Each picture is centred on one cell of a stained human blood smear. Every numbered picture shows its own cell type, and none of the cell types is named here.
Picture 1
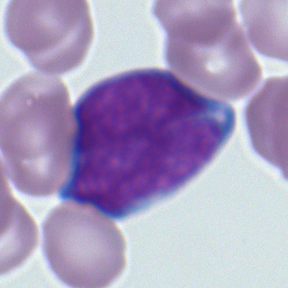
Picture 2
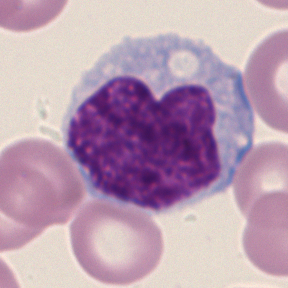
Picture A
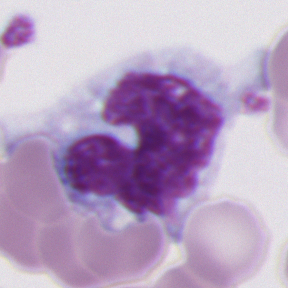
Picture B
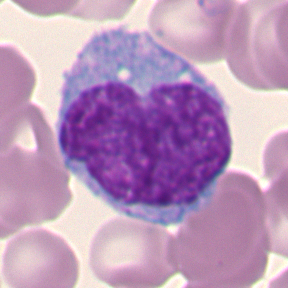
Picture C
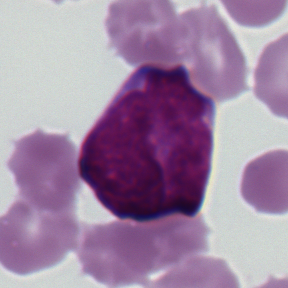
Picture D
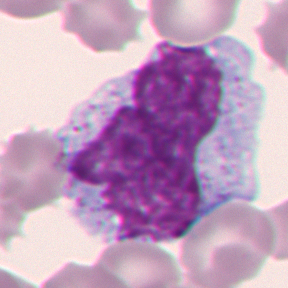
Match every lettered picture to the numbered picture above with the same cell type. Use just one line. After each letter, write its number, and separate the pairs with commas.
A 2, B 2, C 1, D 2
